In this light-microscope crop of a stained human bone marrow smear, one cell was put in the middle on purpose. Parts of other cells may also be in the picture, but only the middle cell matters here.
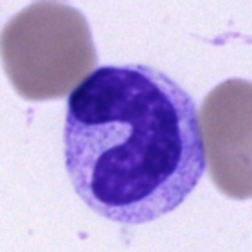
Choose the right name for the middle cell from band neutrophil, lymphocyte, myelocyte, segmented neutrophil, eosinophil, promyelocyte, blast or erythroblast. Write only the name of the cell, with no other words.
band neutrophil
